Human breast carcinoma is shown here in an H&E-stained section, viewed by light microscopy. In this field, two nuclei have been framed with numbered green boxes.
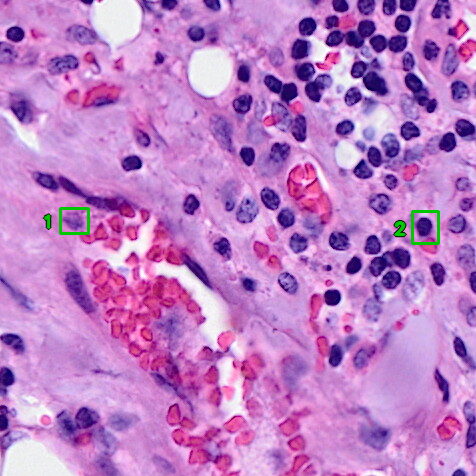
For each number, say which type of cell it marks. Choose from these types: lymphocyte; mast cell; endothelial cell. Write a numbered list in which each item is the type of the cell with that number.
1. endothelial cell
2. lymphocyte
